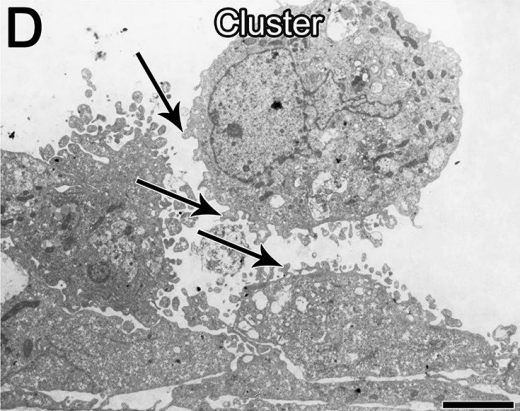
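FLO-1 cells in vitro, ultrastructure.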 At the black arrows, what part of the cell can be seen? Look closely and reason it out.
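The arrows point to numerous small rounded and finger-like projections on the cell surfaces. The projections crowd the space between two cells. That points to this answer: protrusions and microvilli.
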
